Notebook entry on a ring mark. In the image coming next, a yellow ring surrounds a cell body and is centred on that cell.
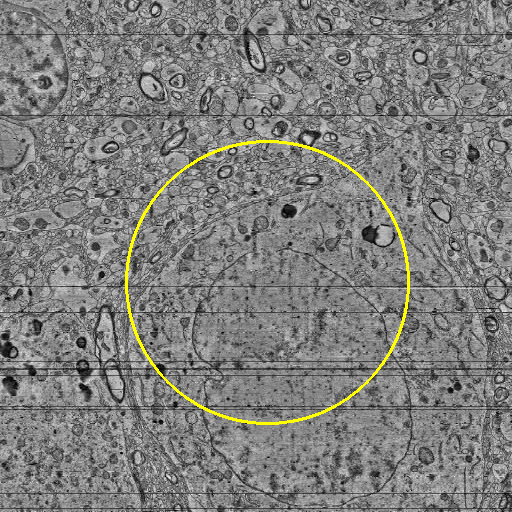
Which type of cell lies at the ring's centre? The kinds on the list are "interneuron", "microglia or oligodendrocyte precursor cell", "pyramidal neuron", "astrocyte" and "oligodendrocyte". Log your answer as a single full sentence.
Centred in the yellow ring is a pyramidal neuron, the cell recorded for this image.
